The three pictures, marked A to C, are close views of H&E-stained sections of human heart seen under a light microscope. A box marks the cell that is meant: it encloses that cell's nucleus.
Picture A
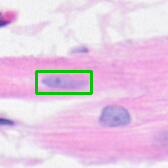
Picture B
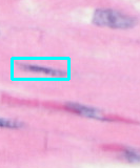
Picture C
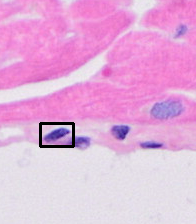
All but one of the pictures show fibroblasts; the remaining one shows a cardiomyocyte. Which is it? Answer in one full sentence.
It is picture A that shows the cardiomyocyte.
